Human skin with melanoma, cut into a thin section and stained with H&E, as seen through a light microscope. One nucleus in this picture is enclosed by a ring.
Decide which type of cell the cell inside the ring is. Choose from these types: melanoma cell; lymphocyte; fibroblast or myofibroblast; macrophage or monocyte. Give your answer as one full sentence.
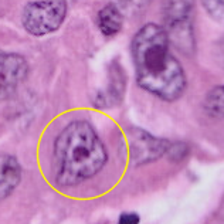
It is a melanoma cell that the cell inside the ring represents.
